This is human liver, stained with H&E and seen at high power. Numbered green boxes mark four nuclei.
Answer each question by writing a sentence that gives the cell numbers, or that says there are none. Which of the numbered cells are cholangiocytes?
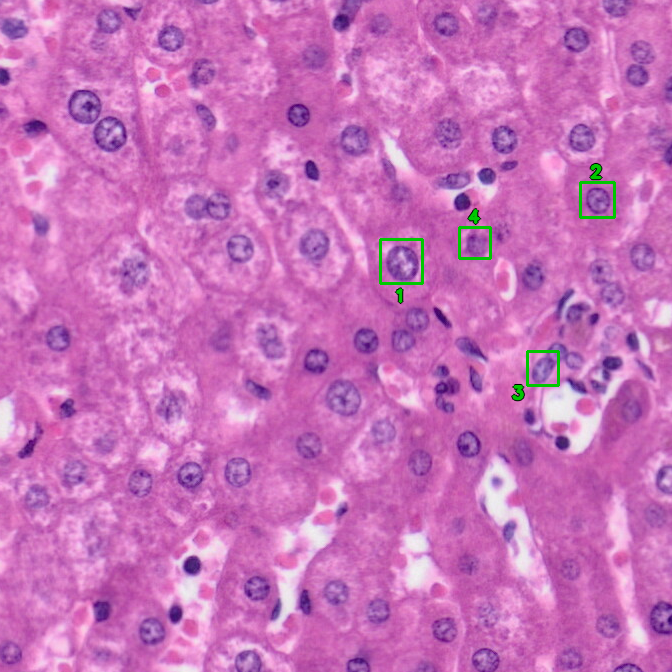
Where the numbered cells are concerned, only number 3 is a cholangiocyte.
